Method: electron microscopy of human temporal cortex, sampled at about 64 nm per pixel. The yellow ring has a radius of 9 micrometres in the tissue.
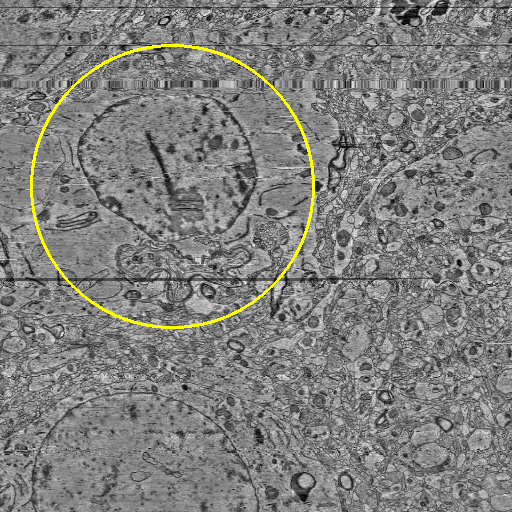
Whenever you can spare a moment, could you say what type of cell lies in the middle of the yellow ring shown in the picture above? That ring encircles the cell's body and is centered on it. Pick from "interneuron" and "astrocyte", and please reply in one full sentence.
The cell whose body sits at the middle of the yellow ring is an astrocyte.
